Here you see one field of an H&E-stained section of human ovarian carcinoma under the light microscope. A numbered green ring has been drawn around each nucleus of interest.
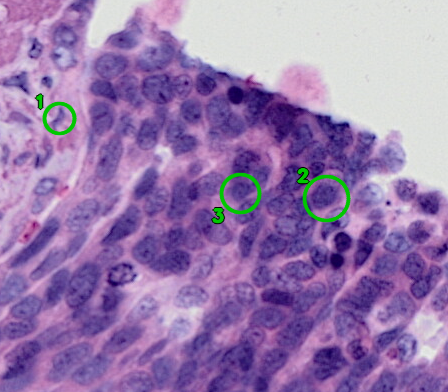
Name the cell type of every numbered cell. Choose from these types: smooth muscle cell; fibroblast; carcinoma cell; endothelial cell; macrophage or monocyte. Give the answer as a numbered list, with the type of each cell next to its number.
1. fibroblast
2. carcinoma cell
3. carcinoma cell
